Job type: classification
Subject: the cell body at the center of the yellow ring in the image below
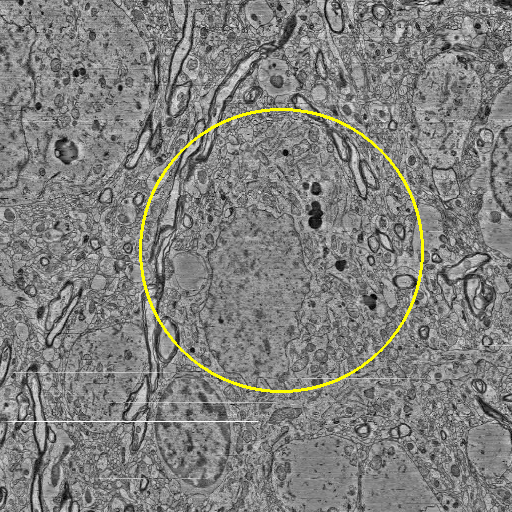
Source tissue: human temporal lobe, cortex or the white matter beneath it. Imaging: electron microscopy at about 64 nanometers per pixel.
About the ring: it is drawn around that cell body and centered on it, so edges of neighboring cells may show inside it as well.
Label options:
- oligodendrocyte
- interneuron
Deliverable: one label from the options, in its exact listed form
interneuron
